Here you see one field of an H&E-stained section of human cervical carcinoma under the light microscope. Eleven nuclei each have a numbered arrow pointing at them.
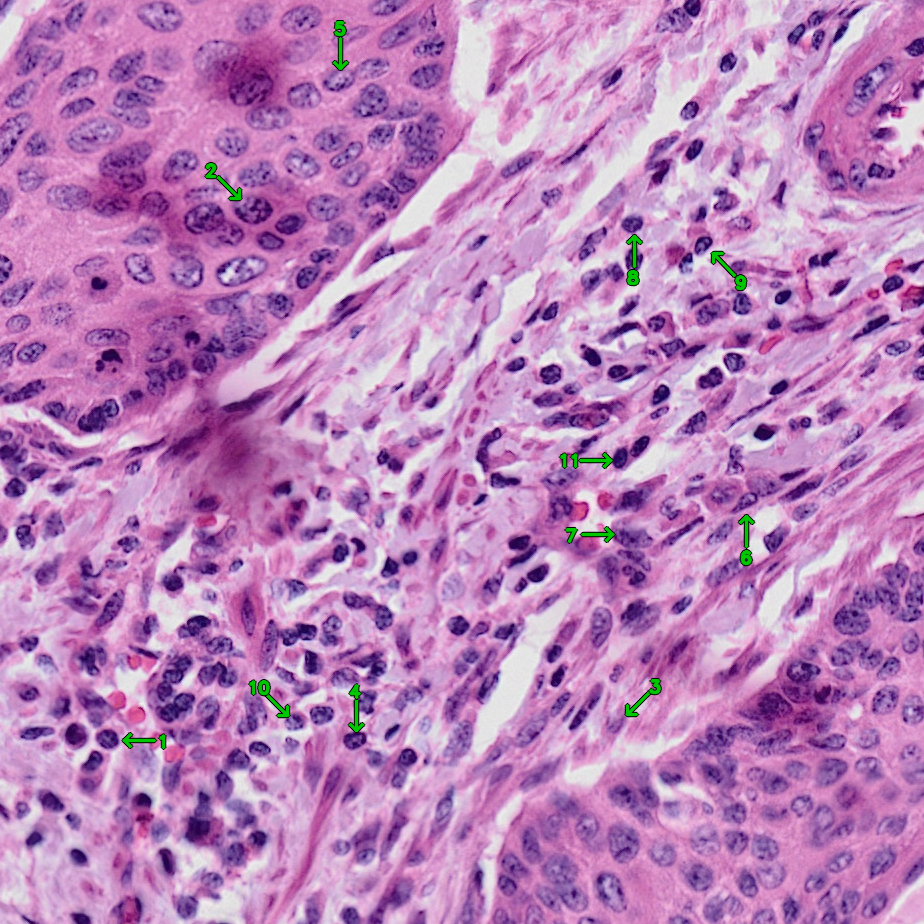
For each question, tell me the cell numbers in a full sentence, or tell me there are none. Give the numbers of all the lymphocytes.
The cells numbered 1, 4, 8, 9, 10 and 11 are of the kind known as lymphocytes.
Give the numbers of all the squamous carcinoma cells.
Within the section, cells numbered 2 and 5 are squamous carcinoma cells.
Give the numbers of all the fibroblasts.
Cell 3 is the single numbered cell that is a fibroblast.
